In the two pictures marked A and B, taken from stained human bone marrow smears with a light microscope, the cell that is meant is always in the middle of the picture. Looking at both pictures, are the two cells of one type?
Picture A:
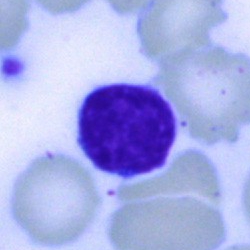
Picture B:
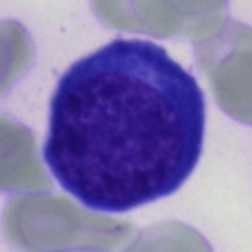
no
